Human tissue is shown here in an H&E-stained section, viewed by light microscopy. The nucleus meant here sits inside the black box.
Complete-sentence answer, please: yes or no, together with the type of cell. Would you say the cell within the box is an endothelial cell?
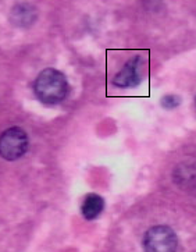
Yes, the cell within the box has been classified as an endothelial cell.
